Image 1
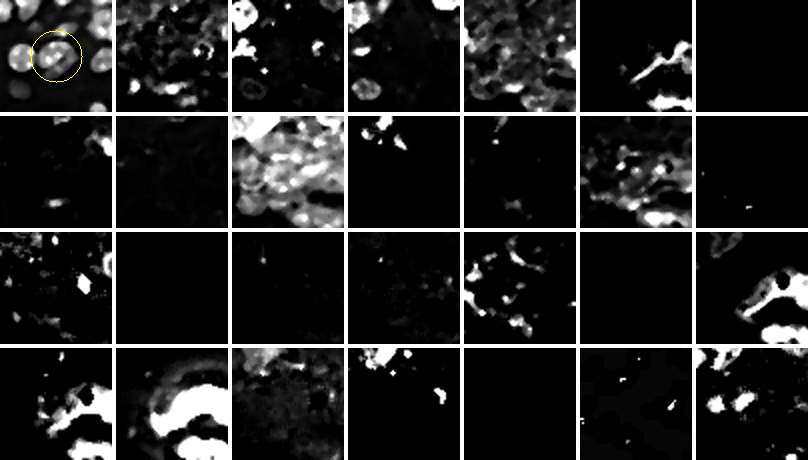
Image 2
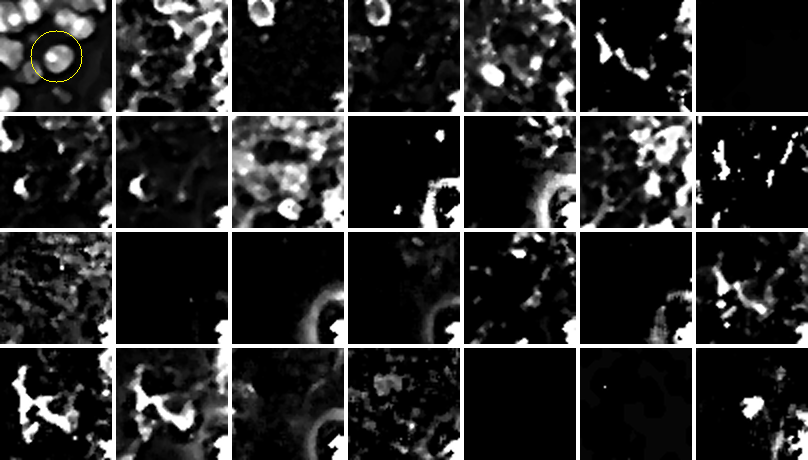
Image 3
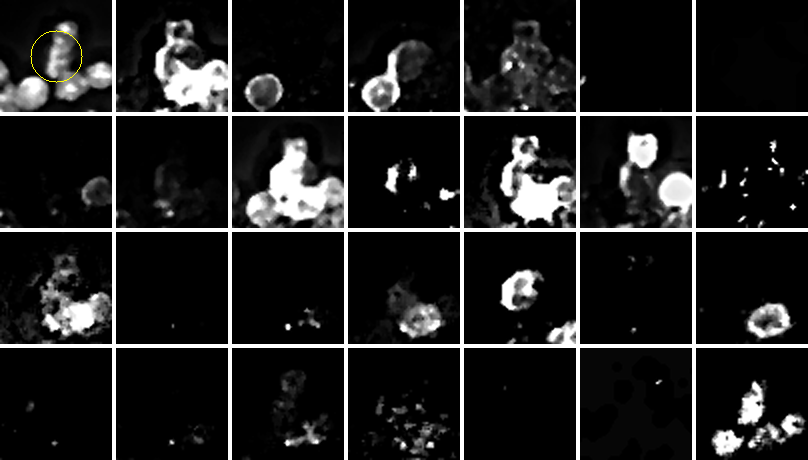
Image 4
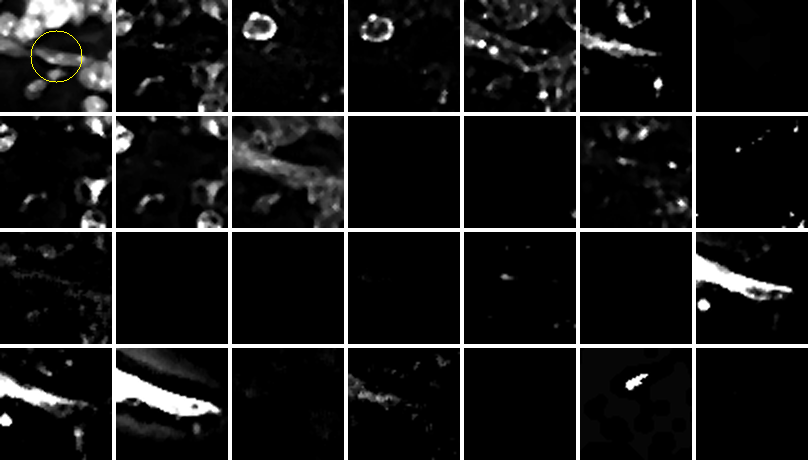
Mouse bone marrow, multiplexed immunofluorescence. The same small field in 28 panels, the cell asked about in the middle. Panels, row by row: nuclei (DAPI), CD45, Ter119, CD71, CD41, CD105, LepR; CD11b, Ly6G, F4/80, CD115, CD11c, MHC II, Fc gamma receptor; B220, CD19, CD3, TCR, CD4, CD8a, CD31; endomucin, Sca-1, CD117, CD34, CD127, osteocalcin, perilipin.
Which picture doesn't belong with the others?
Picture 3.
